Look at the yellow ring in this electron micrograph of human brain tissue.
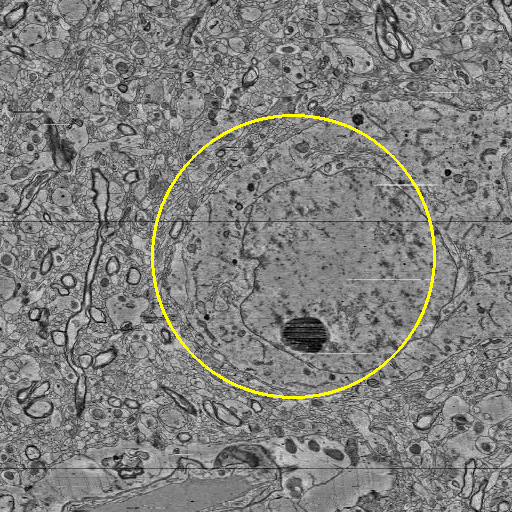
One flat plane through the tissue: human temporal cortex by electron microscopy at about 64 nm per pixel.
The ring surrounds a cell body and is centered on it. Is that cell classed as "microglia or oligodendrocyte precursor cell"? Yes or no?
No, it is of another kind.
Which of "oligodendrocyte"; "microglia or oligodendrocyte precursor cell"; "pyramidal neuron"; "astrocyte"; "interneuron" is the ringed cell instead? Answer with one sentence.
So the cell at the centre is a pyramidal neuron.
